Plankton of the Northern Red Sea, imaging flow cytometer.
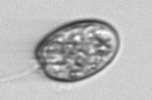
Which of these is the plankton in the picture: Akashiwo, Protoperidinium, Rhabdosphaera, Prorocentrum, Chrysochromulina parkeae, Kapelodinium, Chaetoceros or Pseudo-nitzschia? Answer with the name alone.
Prorocentrum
